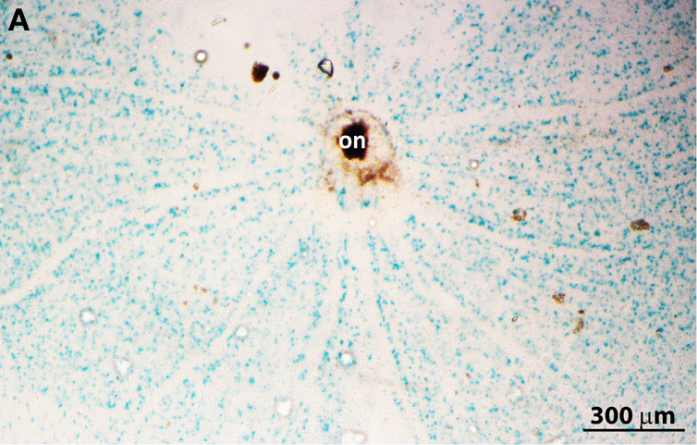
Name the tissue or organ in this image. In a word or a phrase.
retina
